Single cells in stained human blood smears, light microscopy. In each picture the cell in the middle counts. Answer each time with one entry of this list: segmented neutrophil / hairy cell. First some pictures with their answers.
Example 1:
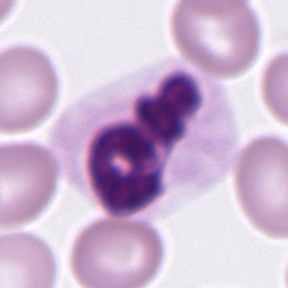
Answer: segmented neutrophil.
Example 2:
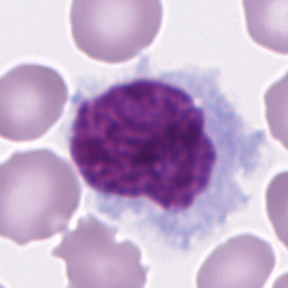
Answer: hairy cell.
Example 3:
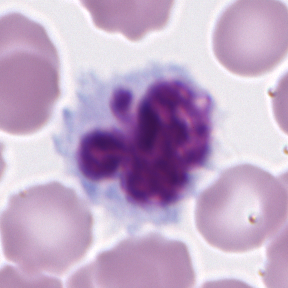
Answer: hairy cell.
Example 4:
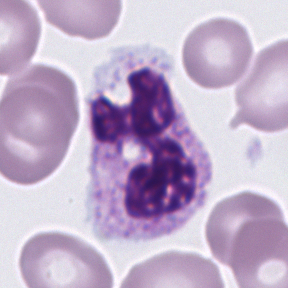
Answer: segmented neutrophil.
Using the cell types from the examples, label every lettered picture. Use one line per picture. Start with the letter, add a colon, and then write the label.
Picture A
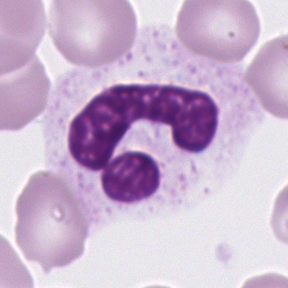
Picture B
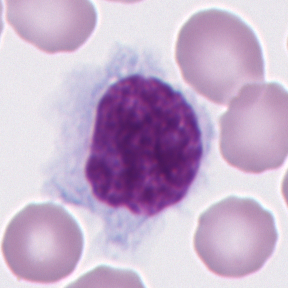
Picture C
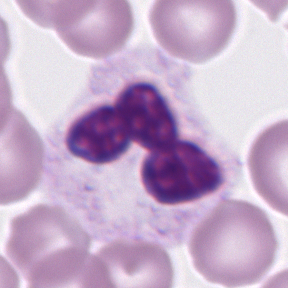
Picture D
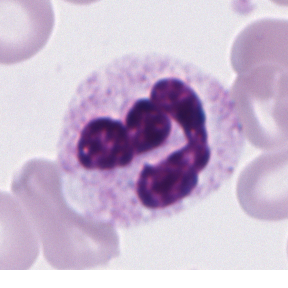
A: segmented neutrophil.
B: hairy cell.
C: segmented neutrophil.
D: segmented neutrophil.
